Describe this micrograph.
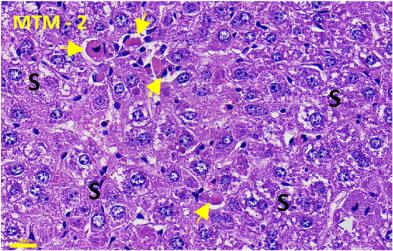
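This is liver tissue in which the hepatocytes show clear damage. Many hepatocytes have pale, foamy cytoplasm filled with fine small vacuoles, while their round nuclei stay in the centre of the cell, the pattern of microvesicular steatosis. Scattered among them are rounded cells with dense, deeply pink cytoplasm and shrunken, dark or vanished nuclei, which are necrotic cells. Around these dying cells the regular cords of hepatocytes are disrupted and small clear spaces open up. The hepatocyte nuclei in general look large, with prominent purple chromatin and nucleoli.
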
